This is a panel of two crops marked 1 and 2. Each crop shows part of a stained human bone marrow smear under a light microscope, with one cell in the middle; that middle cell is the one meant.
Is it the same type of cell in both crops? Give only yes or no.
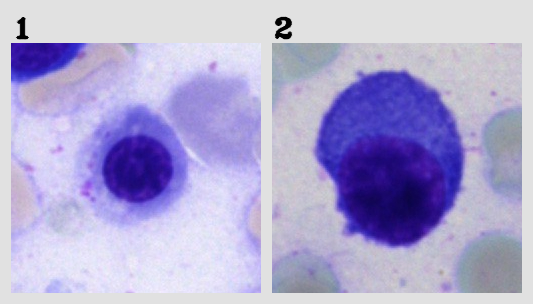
no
